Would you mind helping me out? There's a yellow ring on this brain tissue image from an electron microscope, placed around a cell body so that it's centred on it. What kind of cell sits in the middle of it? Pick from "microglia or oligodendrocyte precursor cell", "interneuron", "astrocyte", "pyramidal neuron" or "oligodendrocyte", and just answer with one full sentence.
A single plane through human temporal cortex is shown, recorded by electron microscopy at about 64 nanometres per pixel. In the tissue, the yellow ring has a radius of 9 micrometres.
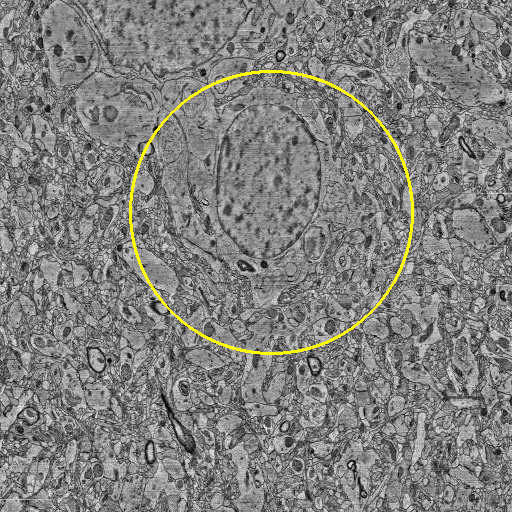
What sits in the middle of that yellow ring is an astrocyte, from your choices.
